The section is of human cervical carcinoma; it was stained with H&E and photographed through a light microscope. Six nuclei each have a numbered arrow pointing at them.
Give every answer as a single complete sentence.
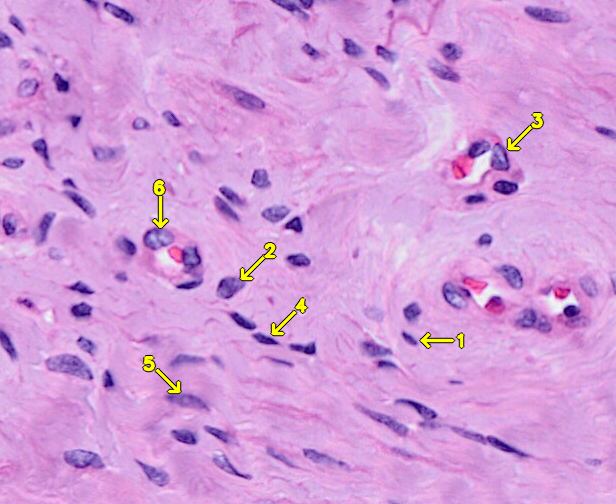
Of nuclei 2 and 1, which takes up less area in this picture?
With nucleus 2 about 3 times its size, nucleus 1 is the smaller of the two.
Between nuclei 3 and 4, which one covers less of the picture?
With nucleus 3 about 2 times its size, nucleus 4 is the smaller of the two.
